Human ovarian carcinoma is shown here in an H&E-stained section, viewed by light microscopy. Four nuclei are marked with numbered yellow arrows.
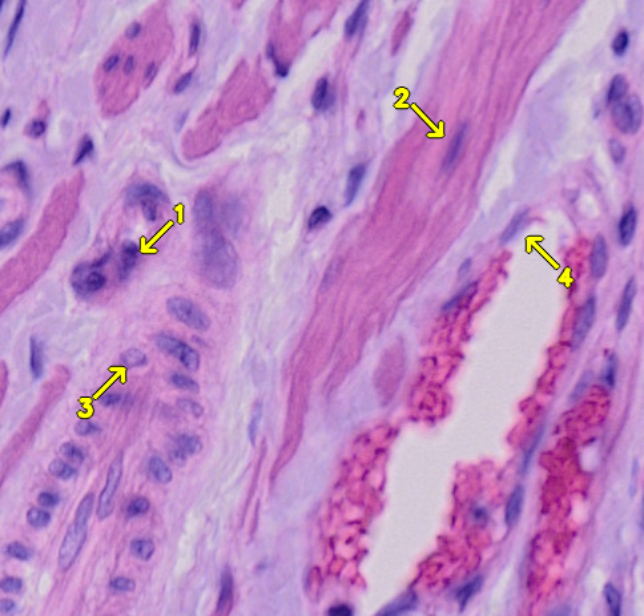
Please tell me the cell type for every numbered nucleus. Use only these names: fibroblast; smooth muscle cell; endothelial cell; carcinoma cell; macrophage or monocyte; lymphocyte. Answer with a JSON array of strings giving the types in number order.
["endothelial cell", "smooth muscle cell", "smooth muscle cell", "endothelial cell"]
